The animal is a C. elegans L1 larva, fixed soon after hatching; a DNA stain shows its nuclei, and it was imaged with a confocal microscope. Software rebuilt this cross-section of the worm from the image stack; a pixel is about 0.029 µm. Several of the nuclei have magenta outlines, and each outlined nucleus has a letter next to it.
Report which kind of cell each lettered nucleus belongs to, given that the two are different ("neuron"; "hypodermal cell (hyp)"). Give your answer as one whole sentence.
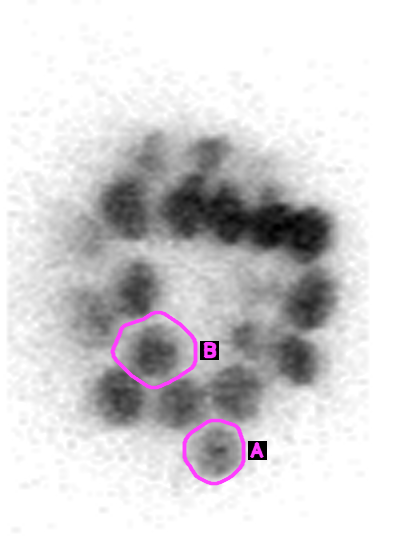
Nucleus A comes from a hypodermal cell (hyp) and nucleus B from a neuron.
